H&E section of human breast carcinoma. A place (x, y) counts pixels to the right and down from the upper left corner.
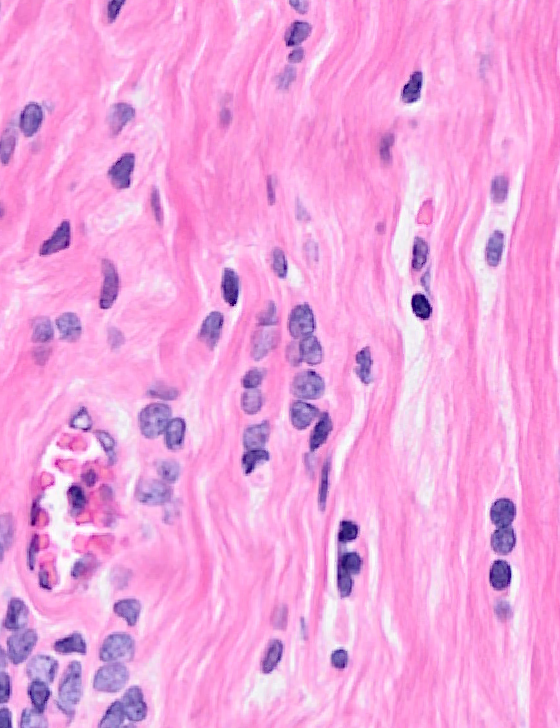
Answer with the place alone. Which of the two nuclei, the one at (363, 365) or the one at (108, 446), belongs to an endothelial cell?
(108, 446)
